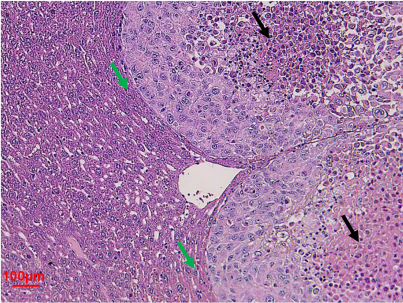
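This is liver tissue made up of hepatic cells, with rounded areas of paler, larger cells set into darker parenchyma. Around the border of these pale areas the surrounding hepatocyte cords are flattened and curve along their edge. Inside the upper right pale area many small, dark, scattered nuclei lie among cells with pale or clear cytoplasm. A vessel lumen lies between the pale areas. The darker parenchyma at the left shows ordinary cords of cells with round nuclei and pink cytoplasm.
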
